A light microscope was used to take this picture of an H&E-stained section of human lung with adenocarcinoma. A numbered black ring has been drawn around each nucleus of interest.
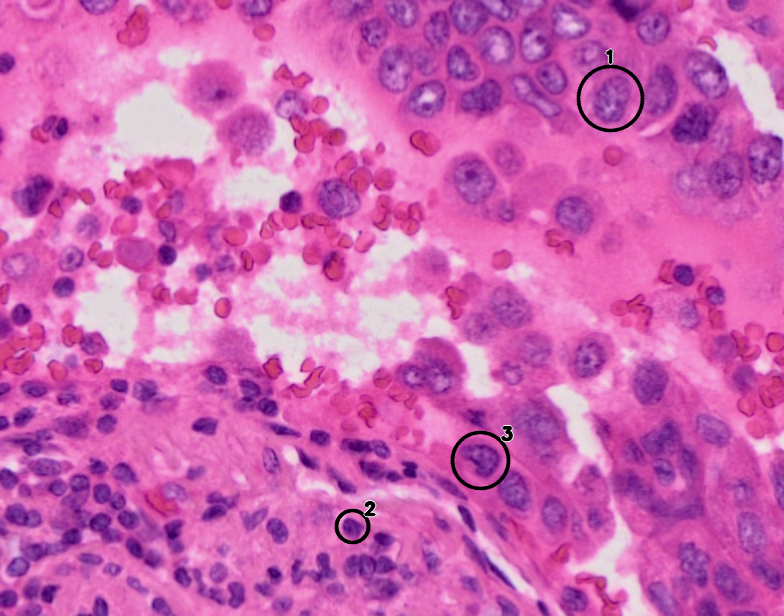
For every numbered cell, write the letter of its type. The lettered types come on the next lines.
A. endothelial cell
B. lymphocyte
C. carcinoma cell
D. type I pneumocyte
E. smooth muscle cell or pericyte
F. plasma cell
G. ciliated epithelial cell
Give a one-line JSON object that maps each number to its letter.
{"1": "C", "2": "B", "3": "C"}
